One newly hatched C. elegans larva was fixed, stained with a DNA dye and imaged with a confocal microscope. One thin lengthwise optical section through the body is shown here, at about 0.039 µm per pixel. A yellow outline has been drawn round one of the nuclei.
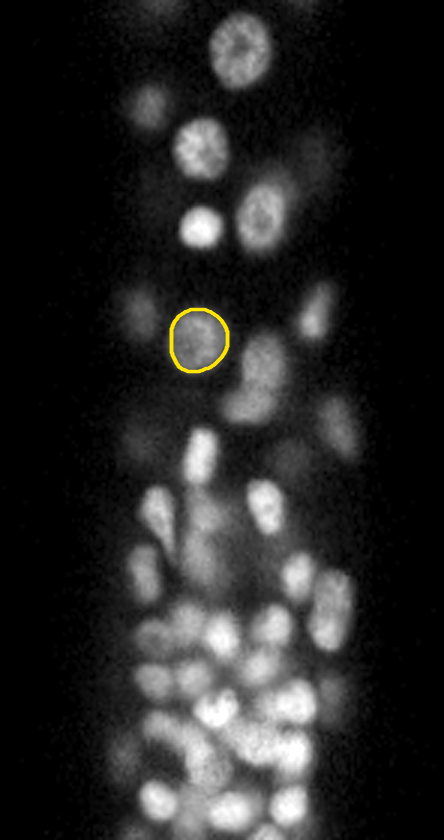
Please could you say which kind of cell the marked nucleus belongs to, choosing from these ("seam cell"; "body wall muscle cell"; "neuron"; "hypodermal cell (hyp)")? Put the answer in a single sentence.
The marked nucleus is that of a hypodermal cell (hyp).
